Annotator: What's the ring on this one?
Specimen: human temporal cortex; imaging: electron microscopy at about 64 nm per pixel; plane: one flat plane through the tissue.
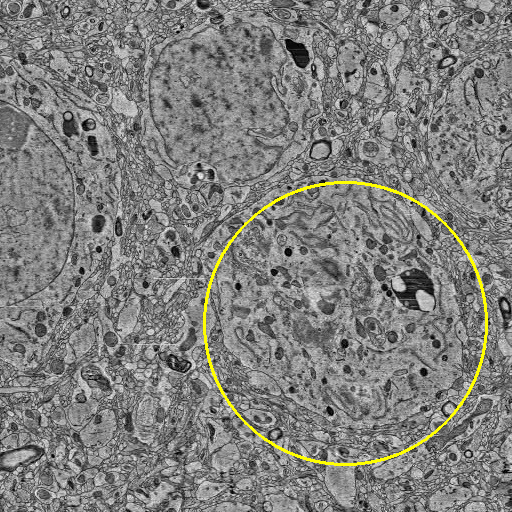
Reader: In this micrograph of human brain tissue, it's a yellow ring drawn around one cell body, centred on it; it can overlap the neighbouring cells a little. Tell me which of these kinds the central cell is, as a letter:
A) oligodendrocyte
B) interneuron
B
